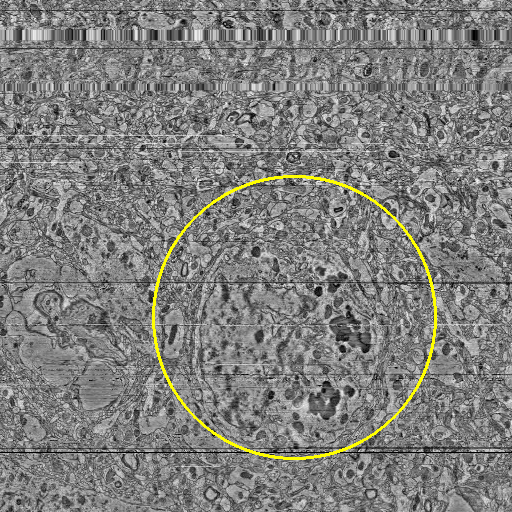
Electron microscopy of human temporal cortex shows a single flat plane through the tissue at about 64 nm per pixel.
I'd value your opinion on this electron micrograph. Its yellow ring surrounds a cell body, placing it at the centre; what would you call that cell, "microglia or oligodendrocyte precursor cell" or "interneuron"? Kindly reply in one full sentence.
It is an interneuron that sits centred within the yellow ring in this micrograph.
